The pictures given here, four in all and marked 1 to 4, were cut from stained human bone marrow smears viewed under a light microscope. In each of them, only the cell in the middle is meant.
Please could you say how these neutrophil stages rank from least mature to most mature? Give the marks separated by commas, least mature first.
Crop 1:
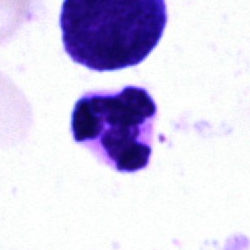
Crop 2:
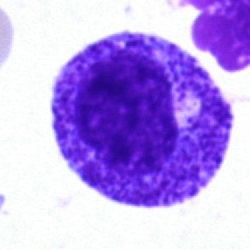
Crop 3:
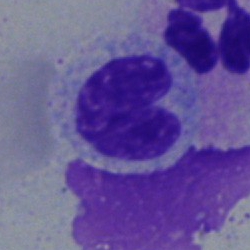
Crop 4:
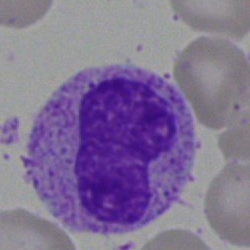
2, 4, 3, 1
